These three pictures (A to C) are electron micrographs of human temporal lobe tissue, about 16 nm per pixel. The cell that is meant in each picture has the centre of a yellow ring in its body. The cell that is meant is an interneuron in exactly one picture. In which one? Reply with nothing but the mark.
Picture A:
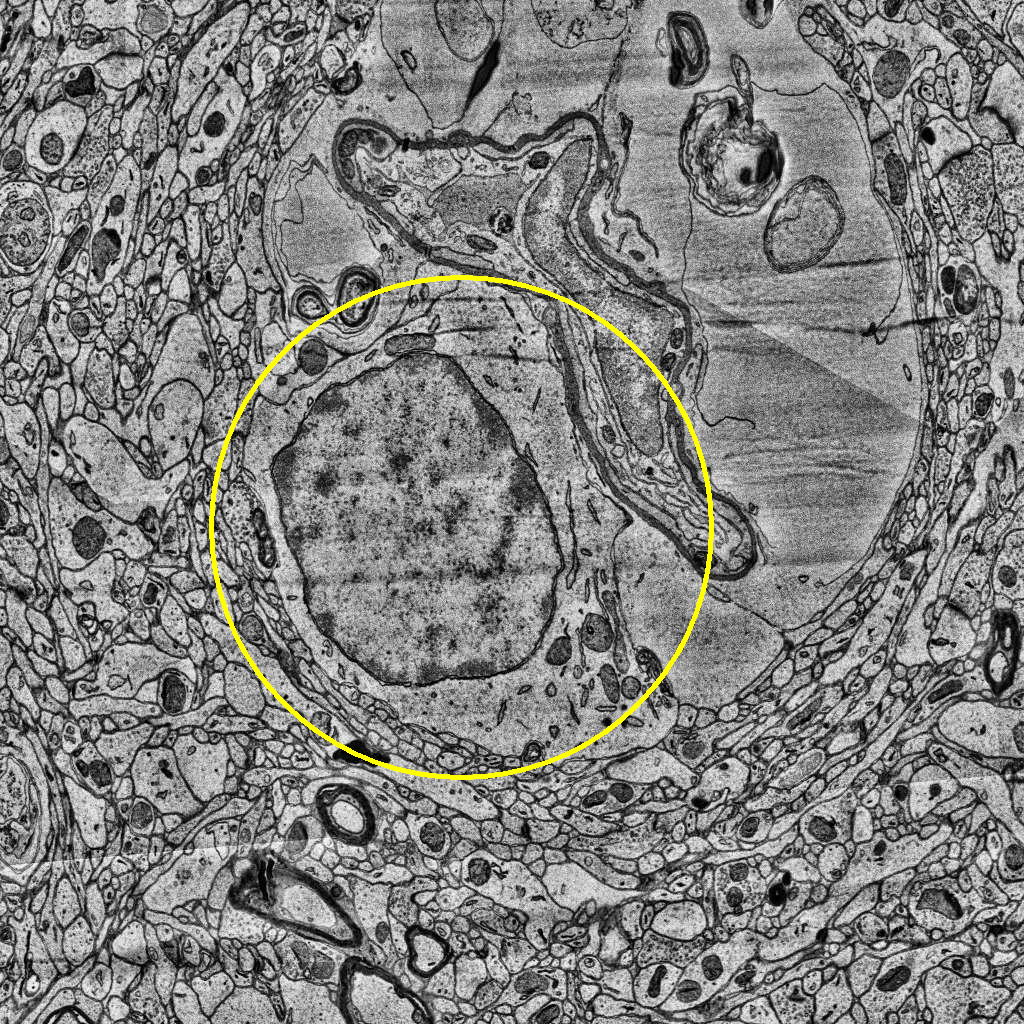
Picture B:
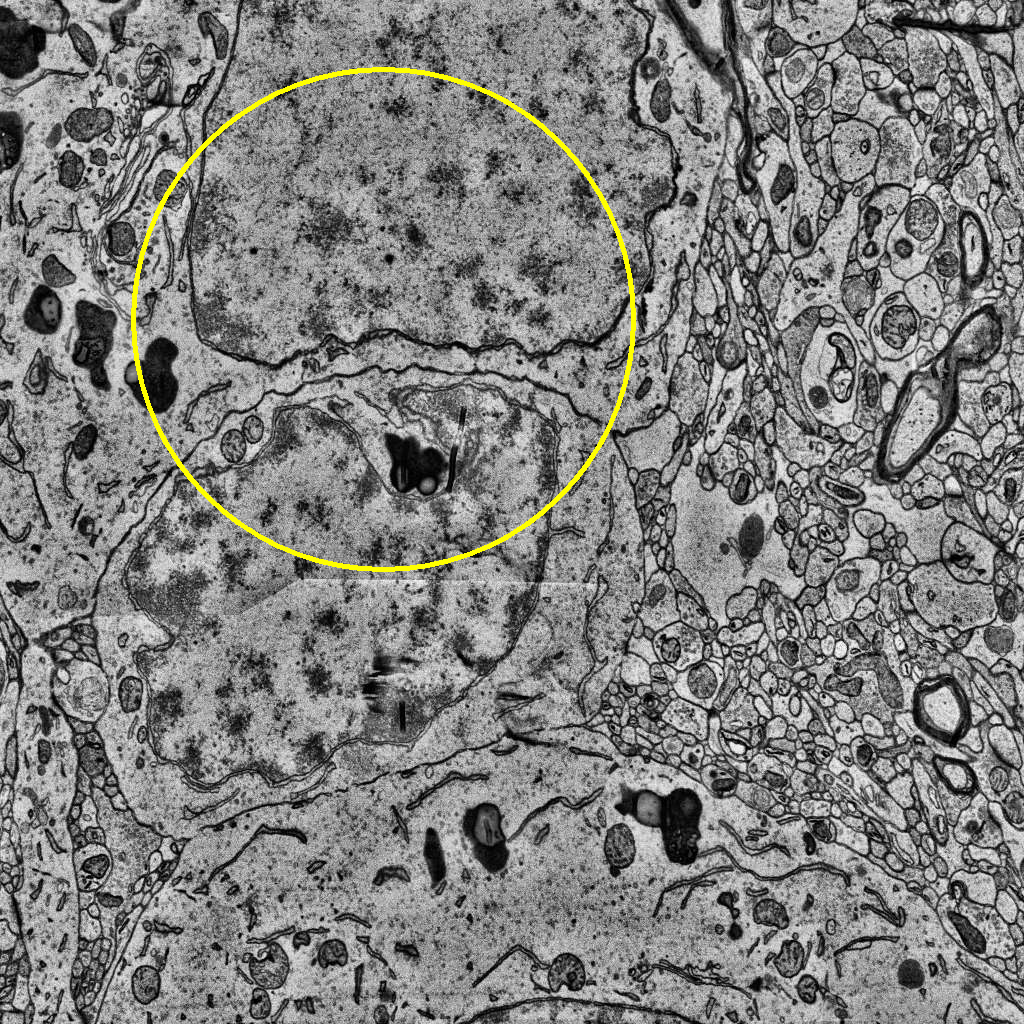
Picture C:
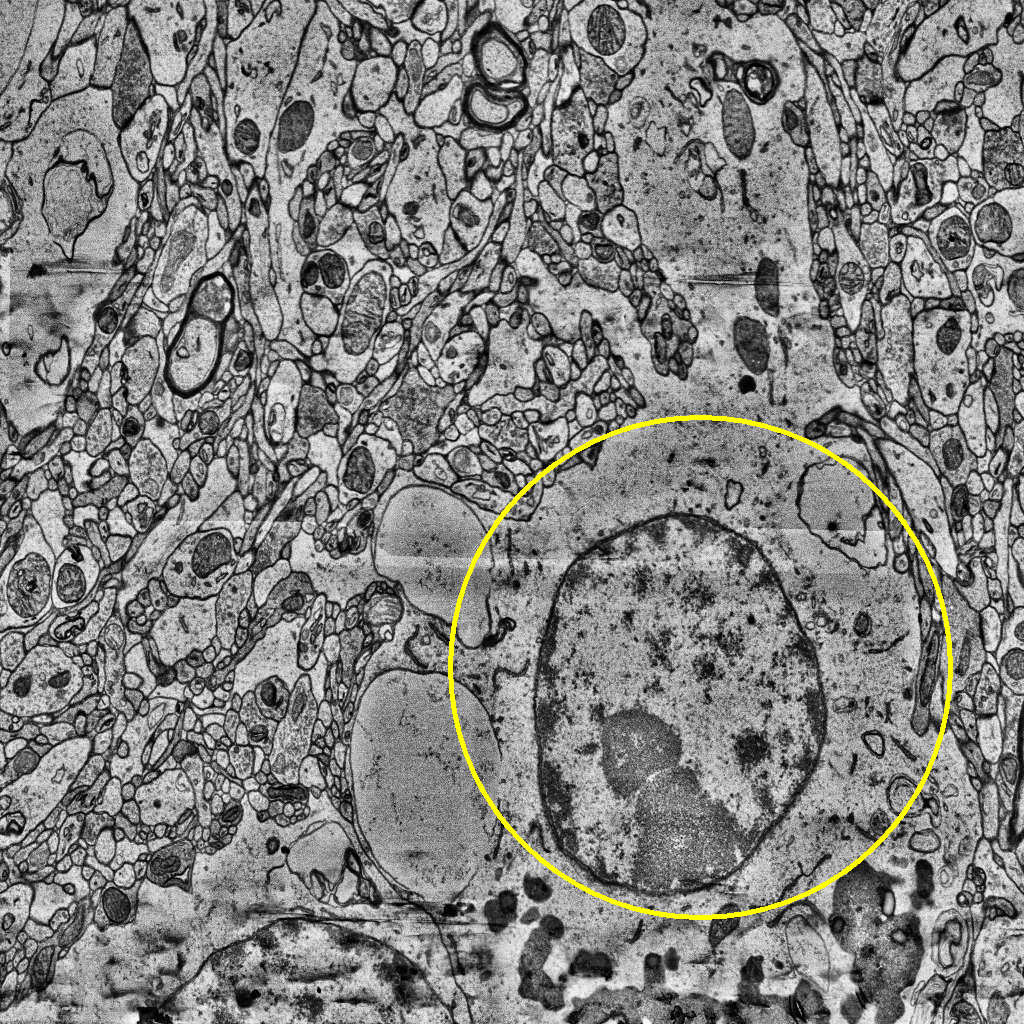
B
